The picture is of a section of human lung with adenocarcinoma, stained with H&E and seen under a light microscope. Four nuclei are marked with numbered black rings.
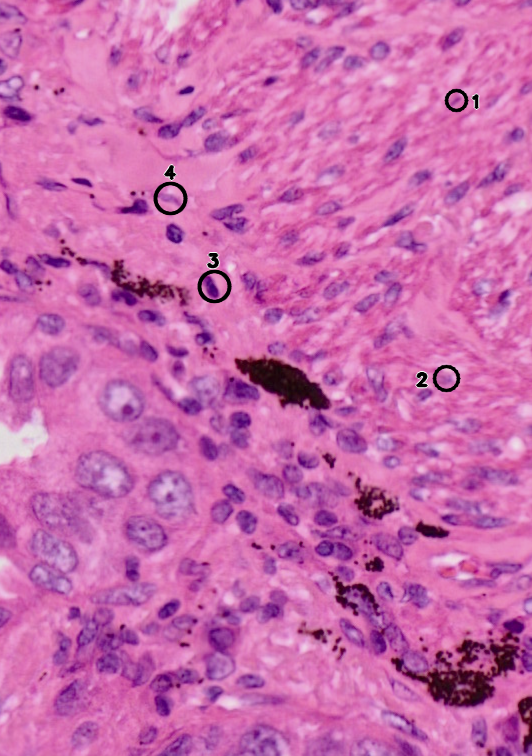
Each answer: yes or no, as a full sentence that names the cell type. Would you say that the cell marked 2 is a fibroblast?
No, cell 2 does not count as a fibroblast; it is a smooth muscle cell or pericyte.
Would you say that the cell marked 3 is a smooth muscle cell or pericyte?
No, the correct answer for cell 3 is a lymphocyte, not a smooth muscle cell or pericyte.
